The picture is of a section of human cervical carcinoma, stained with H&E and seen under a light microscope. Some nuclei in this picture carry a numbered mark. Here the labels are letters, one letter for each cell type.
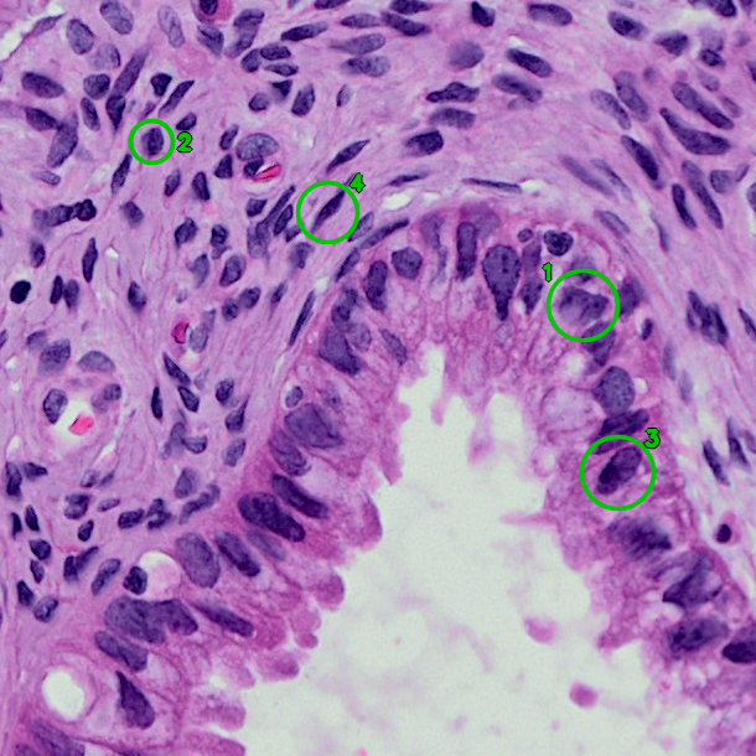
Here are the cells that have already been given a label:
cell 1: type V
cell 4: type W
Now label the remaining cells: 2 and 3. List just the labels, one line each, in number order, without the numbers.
type W
type V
